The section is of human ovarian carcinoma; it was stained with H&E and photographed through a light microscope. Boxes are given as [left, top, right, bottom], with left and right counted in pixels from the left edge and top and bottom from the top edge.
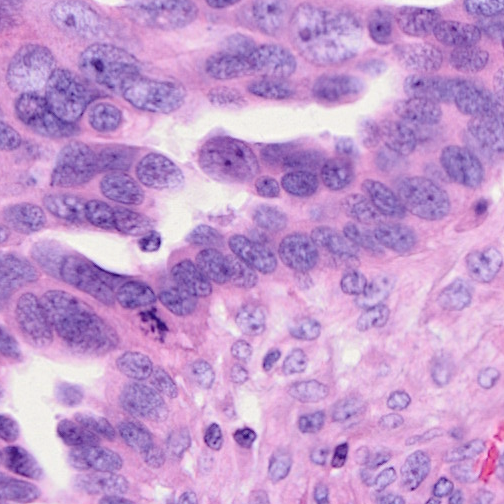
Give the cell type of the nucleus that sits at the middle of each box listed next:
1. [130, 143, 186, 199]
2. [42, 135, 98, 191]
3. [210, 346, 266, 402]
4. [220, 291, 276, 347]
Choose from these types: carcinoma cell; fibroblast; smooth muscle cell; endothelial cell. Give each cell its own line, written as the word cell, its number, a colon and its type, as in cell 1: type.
cell 1: carcinoma cell
cell 2: carcinoma cell
cell 3: fibroblast
cell 4: fibroblast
